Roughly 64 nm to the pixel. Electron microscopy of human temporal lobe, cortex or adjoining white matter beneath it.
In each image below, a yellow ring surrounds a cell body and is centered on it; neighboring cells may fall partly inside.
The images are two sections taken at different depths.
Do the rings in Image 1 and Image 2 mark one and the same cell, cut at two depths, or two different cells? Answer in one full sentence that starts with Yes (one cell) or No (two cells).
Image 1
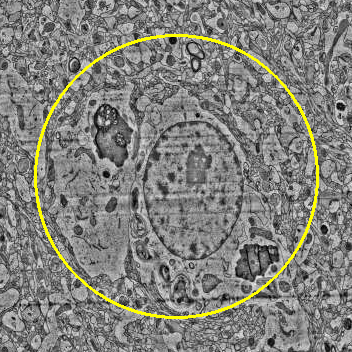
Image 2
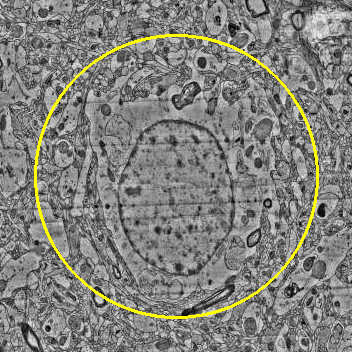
No, the two marked cells are different cells.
